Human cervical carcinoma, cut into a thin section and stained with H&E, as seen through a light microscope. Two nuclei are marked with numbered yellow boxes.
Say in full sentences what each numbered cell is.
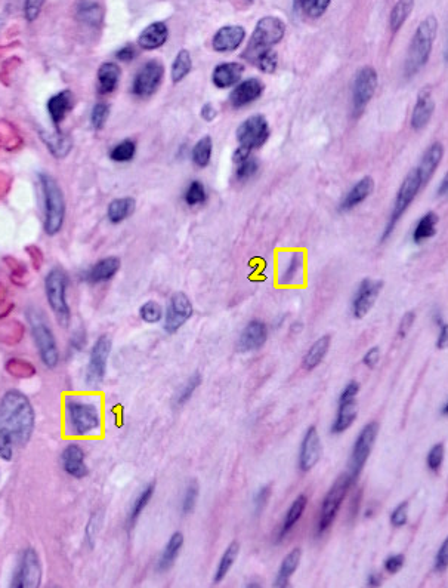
Cell 1 is an endothelial cell and cell 2 is a smooth muscle cell.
